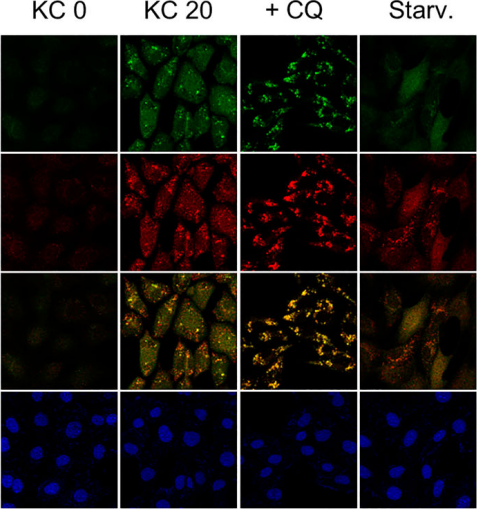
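The cells are flattened and polygonal, each with a single oval blue-stained nucleus. In some columns the green and red fluorescence is faint and diffuse through the cytoplasm, whereas in others it forms many bright cytoplasmic dots, which in one column crowd densely together and overlap as yellow in the merged image.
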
